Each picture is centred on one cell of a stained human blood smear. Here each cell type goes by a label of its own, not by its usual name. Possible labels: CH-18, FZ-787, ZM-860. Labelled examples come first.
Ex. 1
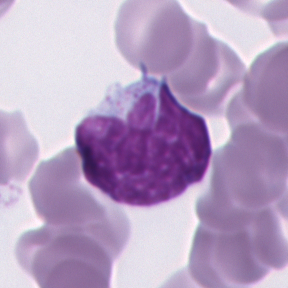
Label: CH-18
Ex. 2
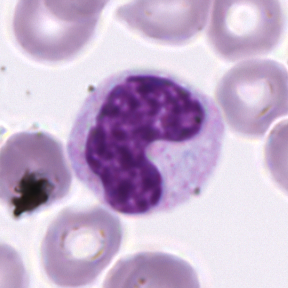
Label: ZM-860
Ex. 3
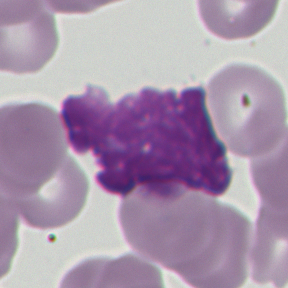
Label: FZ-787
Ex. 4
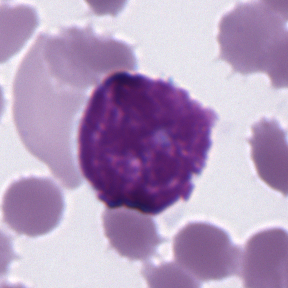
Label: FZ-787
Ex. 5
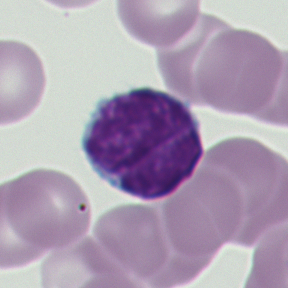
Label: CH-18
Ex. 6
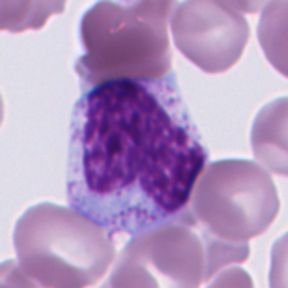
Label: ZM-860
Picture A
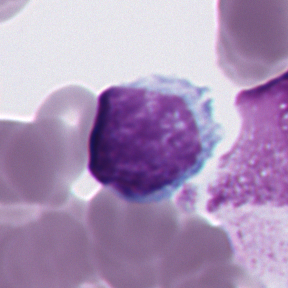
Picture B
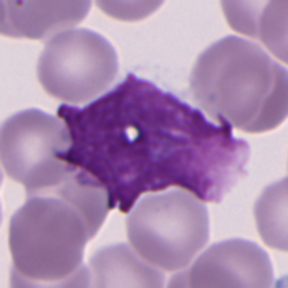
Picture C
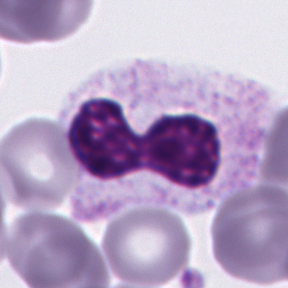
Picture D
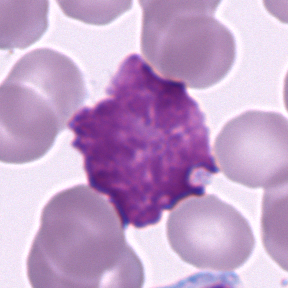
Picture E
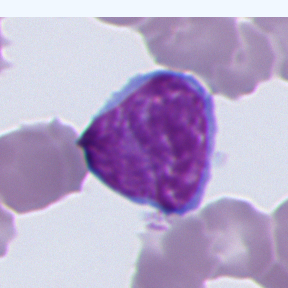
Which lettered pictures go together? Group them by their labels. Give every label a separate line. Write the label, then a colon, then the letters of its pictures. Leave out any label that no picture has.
CH-18: A, E
FZ-787: B, D
ZM-860: C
